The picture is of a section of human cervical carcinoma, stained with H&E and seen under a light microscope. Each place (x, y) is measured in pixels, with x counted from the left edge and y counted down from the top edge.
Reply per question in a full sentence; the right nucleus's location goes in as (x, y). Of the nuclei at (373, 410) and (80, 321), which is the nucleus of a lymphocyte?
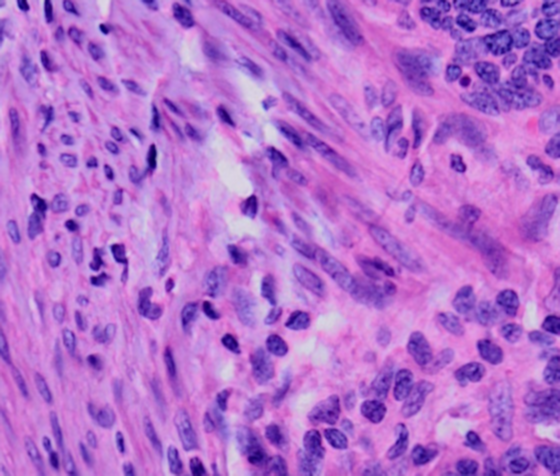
Of these two nuclei, it is the one at (373, 410) that belongs to a lymphocyte.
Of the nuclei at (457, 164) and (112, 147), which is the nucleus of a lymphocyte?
Which one belongs to a lymphocyte? The nucleus at (457, 164) does.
